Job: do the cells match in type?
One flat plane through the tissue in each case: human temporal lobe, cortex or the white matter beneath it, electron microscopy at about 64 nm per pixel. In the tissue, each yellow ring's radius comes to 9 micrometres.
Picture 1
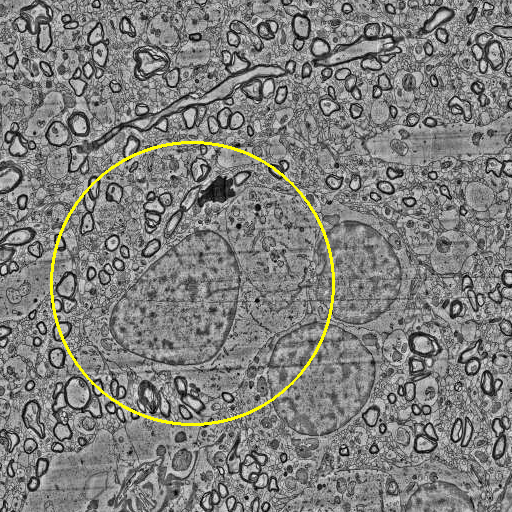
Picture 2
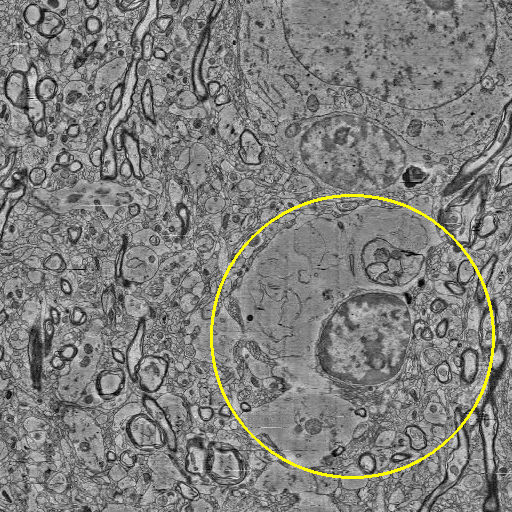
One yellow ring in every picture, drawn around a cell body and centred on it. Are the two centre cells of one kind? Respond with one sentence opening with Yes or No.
Yes, the ringed cells in the two pictures are of one and the same kind.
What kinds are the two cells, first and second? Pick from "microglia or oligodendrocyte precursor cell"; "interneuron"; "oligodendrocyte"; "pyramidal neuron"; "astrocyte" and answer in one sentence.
Each of the two cells is a microglial cell or oligodendrocyte precursor cell.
